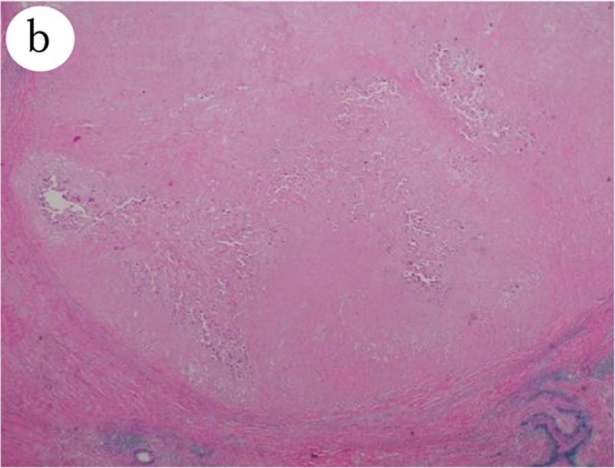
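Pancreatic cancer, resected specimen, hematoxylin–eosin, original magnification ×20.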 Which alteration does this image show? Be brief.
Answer: Coagulative tumor necrosis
